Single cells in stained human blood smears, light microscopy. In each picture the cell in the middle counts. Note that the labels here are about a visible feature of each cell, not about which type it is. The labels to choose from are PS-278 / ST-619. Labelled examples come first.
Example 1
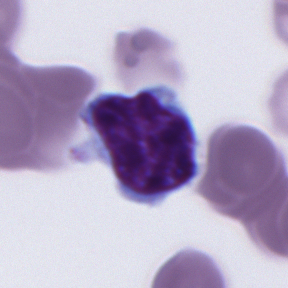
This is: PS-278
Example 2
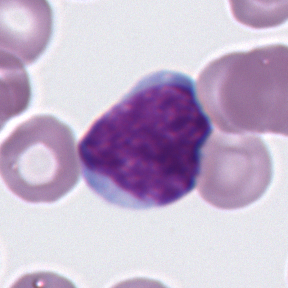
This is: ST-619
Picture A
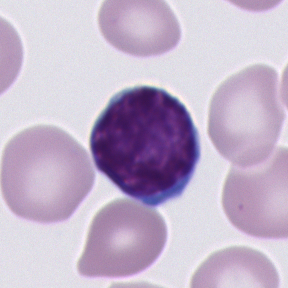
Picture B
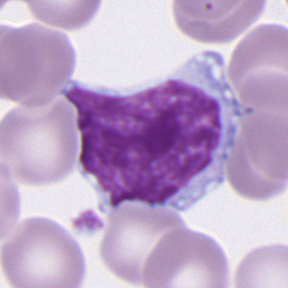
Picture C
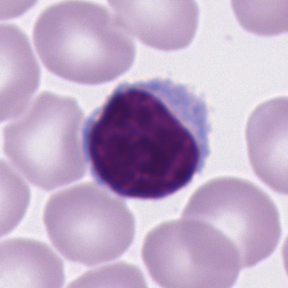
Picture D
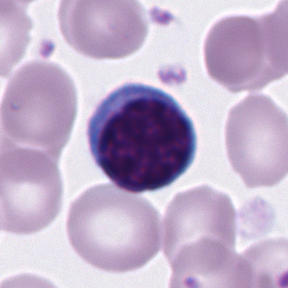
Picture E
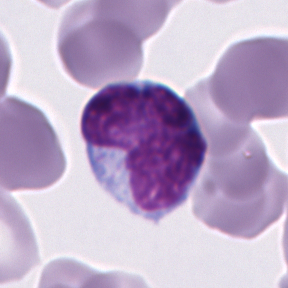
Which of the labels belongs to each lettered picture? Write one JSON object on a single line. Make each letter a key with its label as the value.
{"A": "ST-619", "B": "PS-278", "C": "PS-278", "D": "ST-619", "E": "ST-619"}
